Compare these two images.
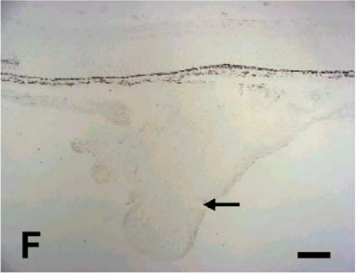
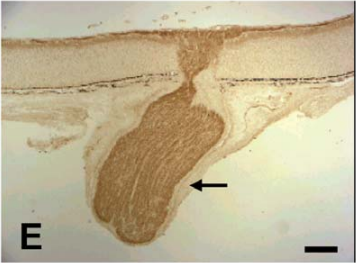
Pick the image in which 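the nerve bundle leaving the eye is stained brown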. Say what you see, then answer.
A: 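The second image. First image: the nerve bundle below the eye wall is pale and nearly unstained. Second image: the nerve bundle is a strong brown throughout.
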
